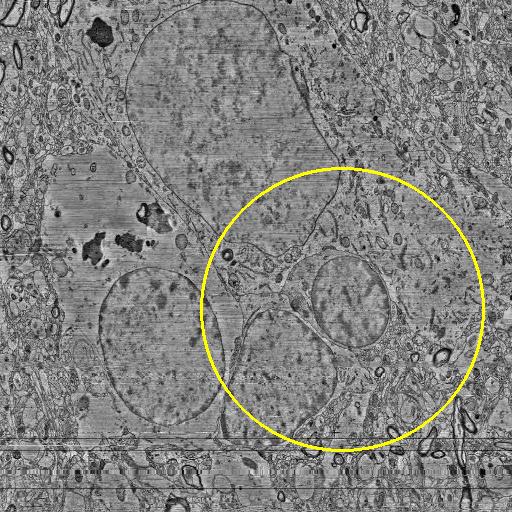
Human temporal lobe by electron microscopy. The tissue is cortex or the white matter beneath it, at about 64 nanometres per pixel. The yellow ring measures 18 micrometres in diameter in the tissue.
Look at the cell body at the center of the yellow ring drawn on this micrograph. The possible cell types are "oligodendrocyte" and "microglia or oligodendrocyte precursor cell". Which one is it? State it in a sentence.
The cell in the middle of the ring is an oligodendrocyte.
